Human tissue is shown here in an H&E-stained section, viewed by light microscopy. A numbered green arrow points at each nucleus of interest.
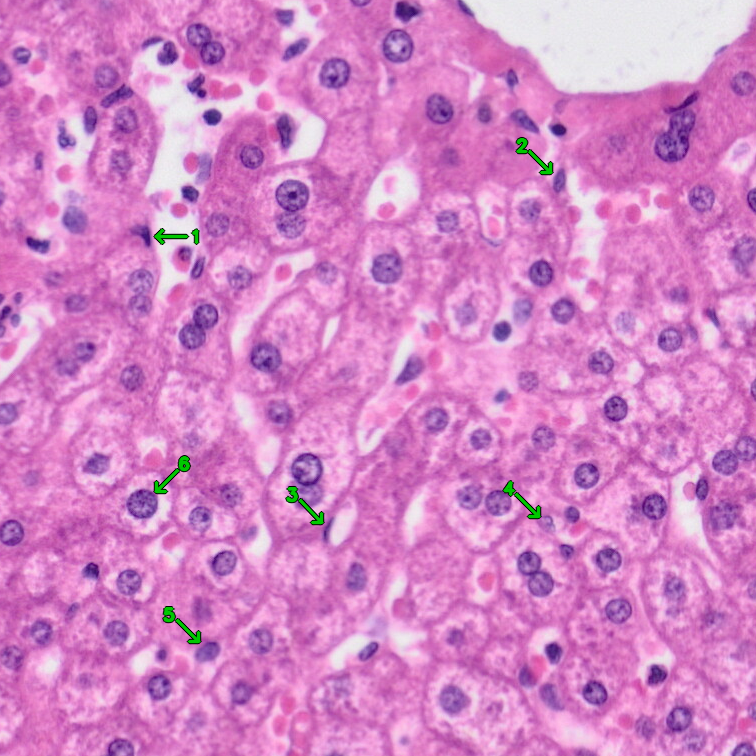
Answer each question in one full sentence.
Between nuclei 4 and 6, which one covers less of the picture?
With nucleus 6 about 3 times its size, nucleus 4 is the smaller of the two.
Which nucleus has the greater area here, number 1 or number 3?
It is nucleus 1, which covers about 2 times the area of nucleus 3.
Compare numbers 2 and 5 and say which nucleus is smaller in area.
Nucleus 2 is the smaller one; nucleus 5 covers about 1.5 times its area.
